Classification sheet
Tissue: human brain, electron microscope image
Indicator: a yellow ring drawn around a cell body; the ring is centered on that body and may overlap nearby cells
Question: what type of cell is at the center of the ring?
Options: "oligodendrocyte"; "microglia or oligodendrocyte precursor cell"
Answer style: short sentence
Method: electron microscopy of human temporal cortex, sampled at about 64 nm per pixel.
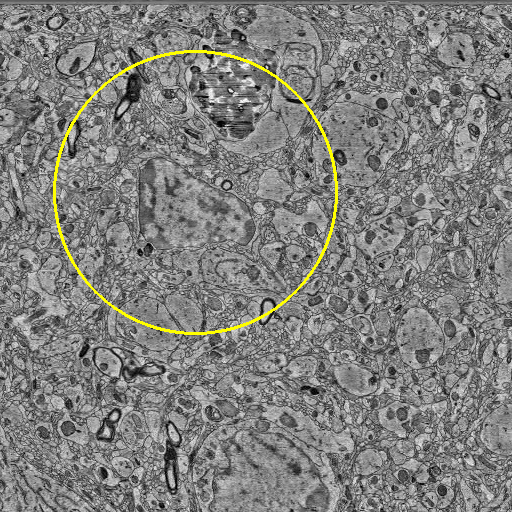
At the ring's center is a microglial cell or oligodendrocyte precursor cell.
